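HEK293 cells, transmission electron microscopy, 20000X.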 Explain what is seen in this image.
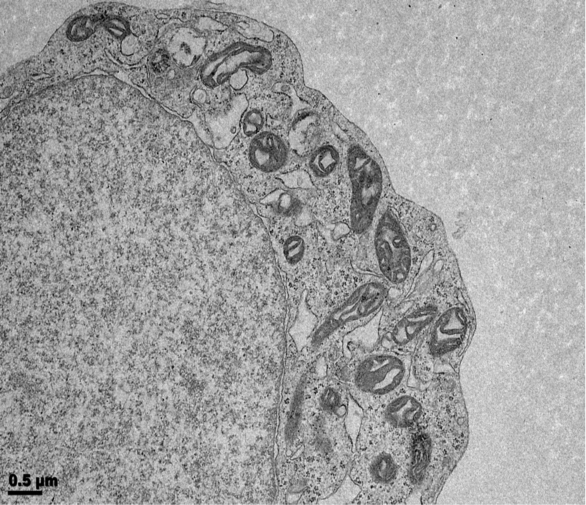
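The edge of a cultured cell, where a broad granular nucleus with its envelope fills the left and a thin band of cytoplasm runs along the cell border. Within that band lie numerous mitochondria, oval and elongated, many with clearly visible cristae crossing their interiors.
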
